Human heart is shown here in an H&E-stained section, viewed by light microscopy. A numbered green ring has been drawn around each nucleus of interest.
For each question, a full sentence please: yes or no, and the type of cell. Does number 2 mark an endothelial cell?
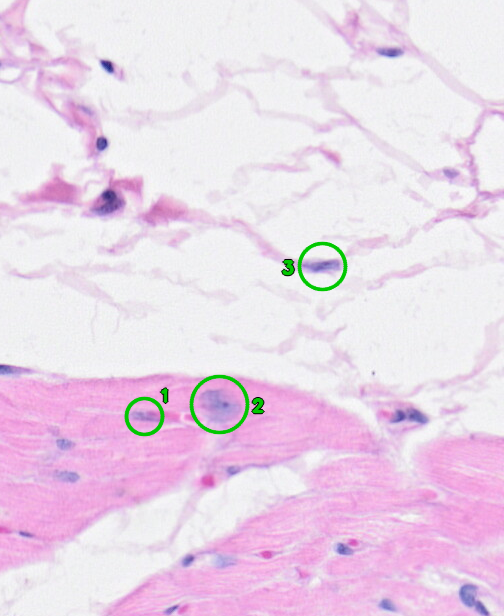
No, cell 2 has been misnamed; it is a cardiomyocyte, not an endothelial cell.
